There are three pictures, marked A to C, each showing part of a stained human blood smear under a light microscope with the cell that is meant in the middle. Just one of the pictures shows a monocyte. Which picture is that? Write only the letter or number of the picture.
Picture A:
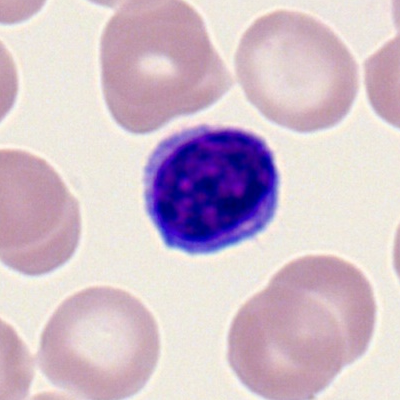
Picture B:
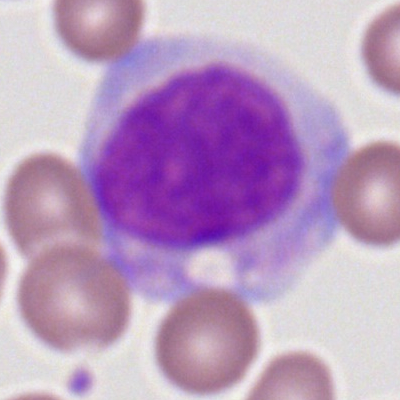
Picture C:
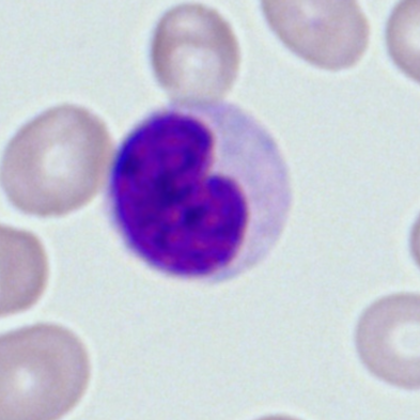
B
